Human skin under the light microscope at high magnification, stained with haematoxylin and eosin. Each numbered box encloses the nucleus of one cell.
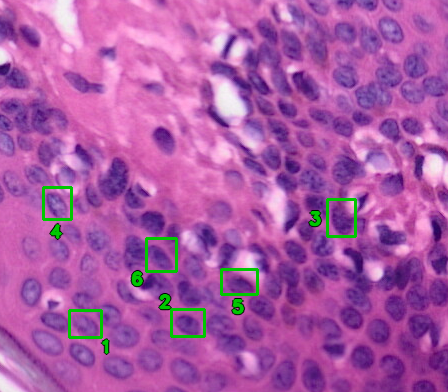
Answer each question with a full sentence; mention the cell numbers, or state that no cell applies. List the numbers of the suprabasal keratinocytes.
Into the category of suprabasal keratinocytes fall the cells numbered 1, 2 and 4.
